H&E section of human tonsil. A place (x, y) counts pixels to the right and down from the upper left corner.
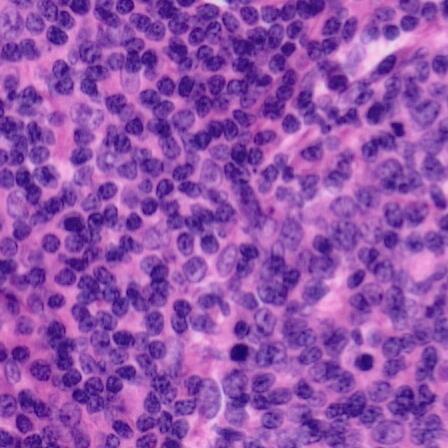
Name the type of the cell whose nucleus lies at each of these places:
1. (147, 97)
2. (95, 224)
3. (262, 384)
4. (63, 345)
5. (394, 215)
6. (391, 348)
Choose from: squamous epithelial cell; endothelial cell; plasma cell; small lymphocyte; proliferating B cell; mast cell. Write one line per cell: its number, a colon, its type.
1: small lymphocyte
2: small lymphocyte
3: proliferating B cell
4: small lymphocyte
5: proliferating B cell
6: proliferating B cell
